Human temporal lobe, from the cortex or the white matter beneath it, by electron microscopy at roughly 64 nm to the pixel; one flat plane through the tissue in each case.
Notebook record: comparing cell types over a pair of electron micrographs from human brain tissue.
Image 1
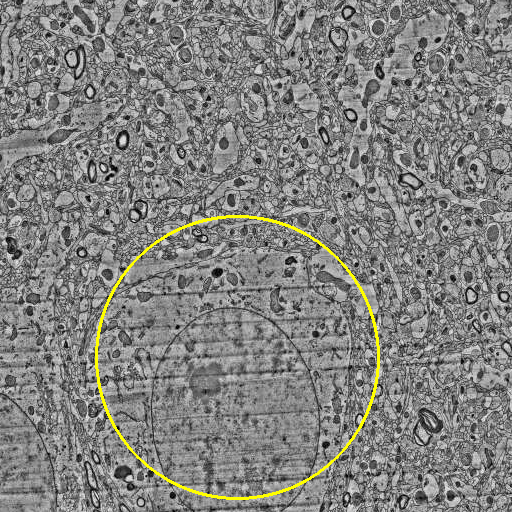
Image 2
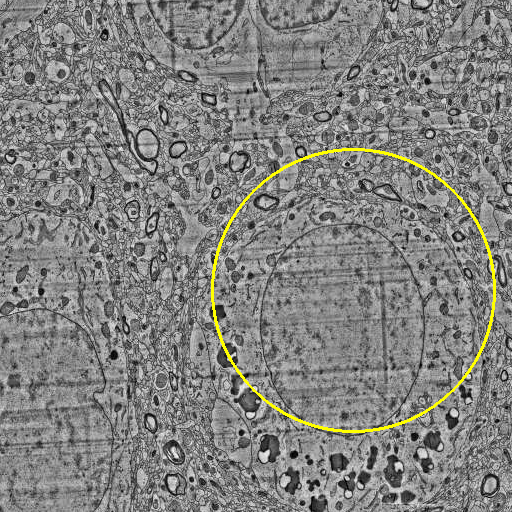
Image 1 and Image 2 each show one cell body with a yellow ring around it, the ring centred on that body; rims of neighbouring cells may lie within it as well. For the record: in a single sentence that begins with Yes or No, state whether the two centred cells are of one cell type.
Yes, one cell type is shared by the centred cells of Image 1 and Image 2.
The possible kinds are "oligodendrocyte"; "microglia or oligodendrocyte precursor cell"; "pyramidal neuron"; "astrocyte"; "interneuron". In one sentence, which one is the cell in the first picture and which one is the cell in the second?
The second cell is a pyramidal neuron, just as the first is.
